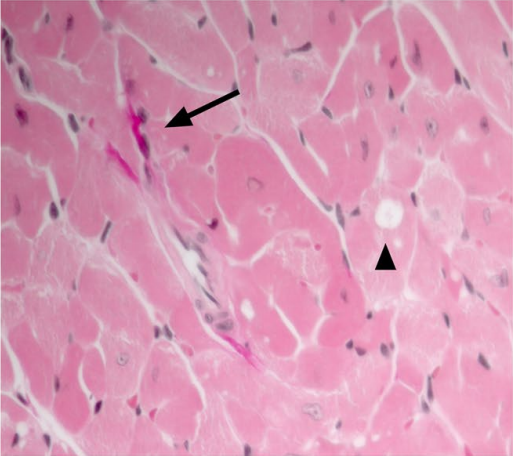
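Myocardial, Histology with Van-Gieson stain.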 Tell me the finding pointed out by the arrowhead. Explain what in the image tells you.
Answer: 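The arrowhead lies beneath a round, clear, empty space within the pink cytoplasm of a muscle fibre. Smaller clear spaces lie nearby in the same fibre.
Answer: vacuolization of cardiomyocyte cytoplasm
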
